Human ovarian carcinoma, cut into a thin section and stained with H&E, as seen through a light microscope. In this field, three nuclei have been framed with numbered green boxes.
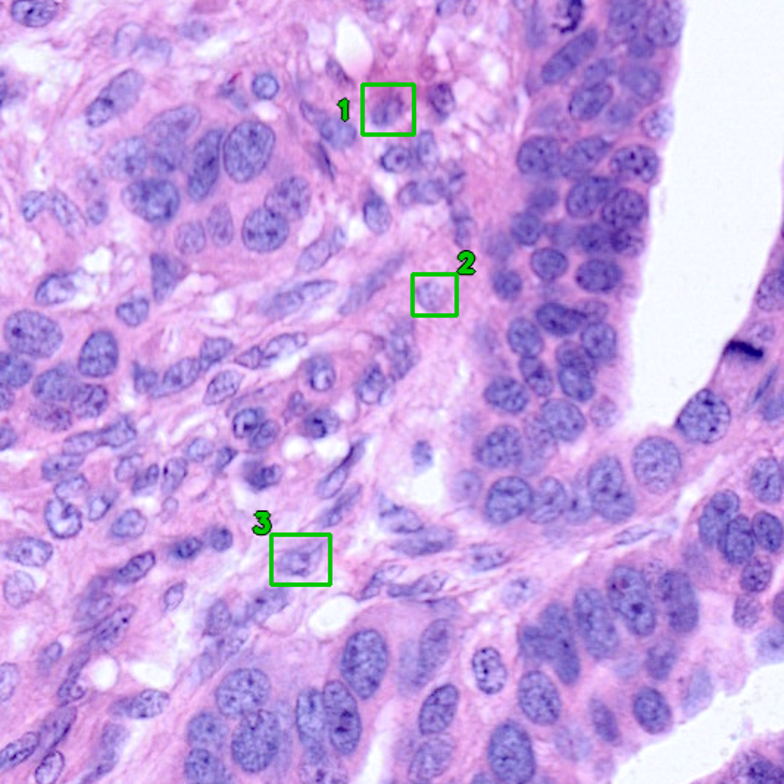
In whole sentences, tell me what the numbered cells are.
Cell 1 is a macrophage or monocyte. Cells 2 and 3 are fibroblasts.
